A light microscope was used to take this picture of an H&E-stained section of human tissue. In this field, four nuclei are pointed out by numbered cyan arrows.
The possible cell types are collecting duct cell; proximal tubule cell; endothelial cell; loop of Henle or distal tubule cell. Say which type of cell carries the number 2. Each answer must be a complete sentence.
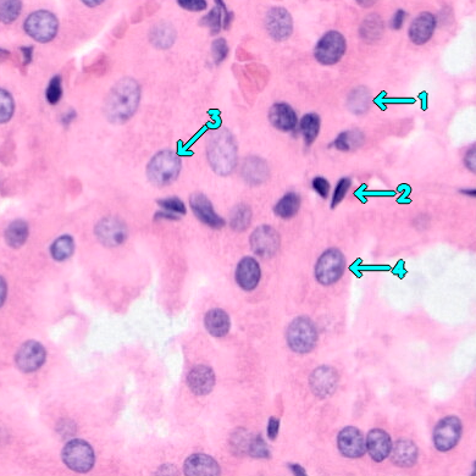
The cell that carries the label 2 is an endothelial cell.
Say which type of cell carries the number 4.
Recognised here as a proximal tubule cell is the cell numbered 4.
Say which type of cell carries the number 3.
The mark numbered 3 indicates the nucleus of a proximal tubule cell.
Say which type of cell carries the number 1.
Here, the cell given the number 1 is a proximal tubule cell.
